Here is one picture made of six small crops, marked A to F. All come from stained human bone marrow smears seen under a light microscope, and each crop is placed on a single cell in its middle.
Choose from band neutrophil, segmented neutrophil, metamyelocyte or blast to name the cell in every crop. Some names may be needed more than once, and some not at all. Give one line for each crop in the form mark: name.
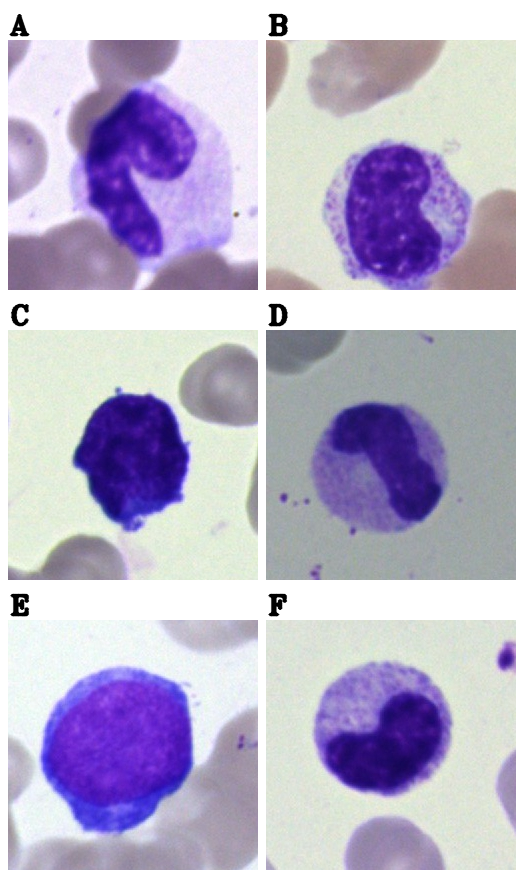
A: band neutrophil
B: metamyelocyte
C: blast
D: band neutrophil
E: blast
F: band neutrophil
